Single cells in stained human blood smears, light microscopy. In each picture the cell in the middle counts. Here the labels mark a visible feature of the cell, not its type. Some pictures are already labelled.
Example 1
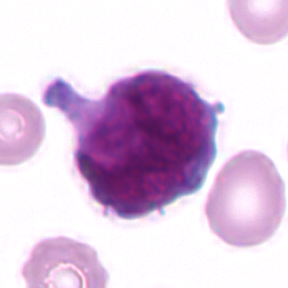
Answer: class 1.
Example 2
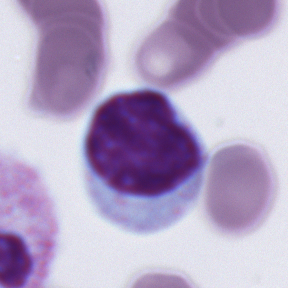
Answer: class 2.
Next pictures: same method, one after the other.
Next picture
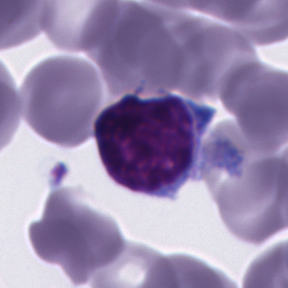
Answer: class 1.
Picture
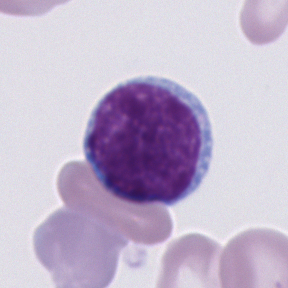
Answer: class 2.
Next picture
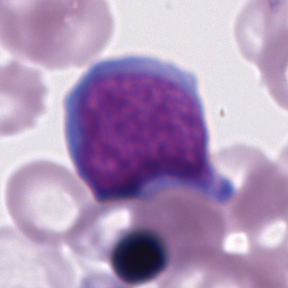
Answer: class 1.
